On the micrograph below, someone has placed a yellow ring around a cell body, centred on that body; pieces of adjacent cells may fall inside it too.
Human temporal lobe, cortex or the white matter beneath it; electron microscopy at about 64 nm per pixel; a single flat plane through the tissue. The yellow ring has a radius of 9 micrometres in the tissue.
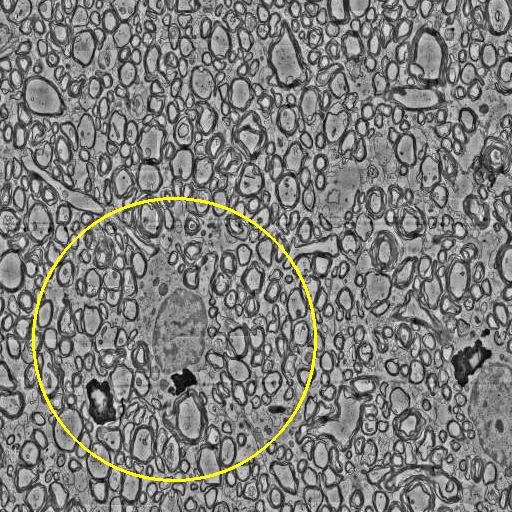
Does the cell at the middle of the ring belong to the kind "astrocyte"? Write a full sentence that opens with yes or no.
No, the micrograph shows another kind of cell at the ring's centre.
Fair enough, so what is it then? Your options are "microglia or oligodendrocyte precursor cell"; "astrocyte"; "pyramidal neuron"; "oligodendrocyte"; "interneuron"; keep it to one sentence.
The cell ringed in the picture is an oligodendrocyte.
